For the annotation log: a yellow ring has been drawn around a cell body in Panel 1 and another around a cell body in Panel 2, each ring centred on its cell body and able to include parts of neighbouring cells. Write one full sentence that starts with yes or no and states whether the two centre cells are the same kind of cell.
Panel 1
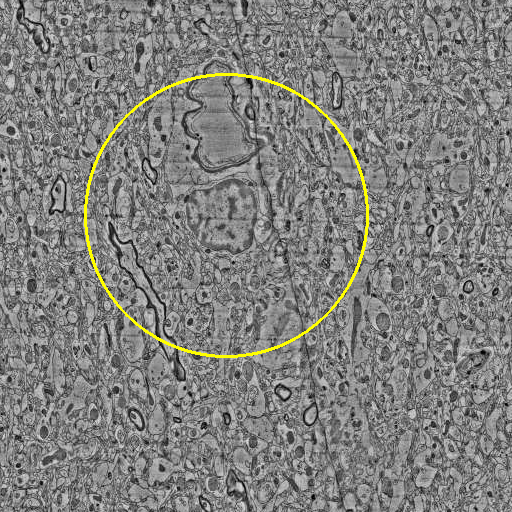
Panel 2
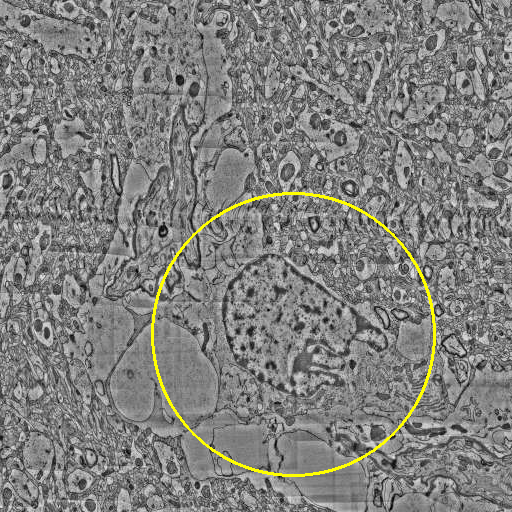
Yes, the two centre cells are the same kind of cell.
